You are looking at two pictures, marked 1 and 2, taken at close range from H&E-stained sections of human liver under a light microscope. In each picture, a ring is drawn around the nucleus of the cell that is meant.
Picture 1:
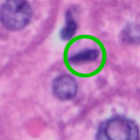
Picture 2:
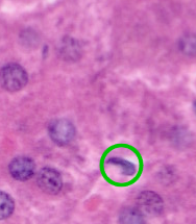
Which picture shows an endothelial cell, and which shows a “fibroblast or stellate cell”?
1: fibroblast or stellate cell
2: endothelial cell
